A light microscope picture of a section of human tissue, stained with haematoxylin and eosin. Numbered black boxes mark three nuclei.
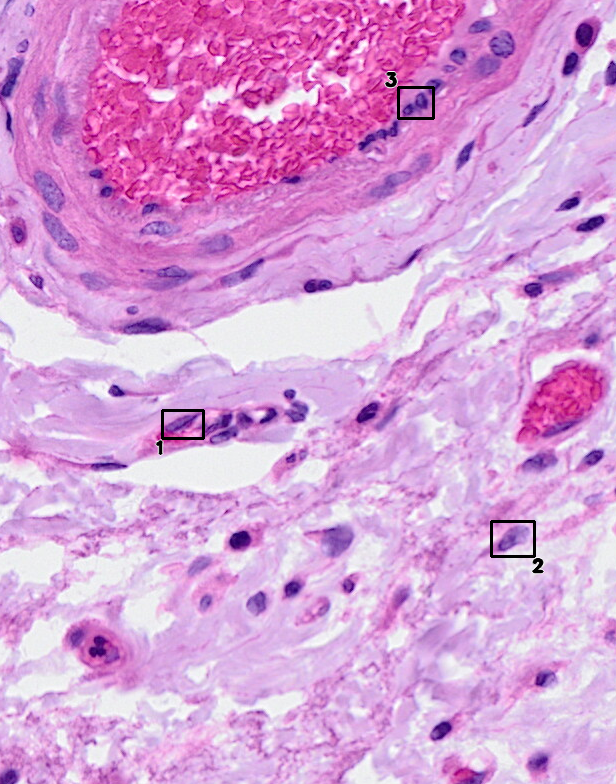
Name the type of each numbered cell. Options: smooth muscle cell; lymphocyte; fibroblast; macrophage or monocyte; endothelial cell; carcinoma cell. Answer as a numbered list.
1. endothelial cell
2. fibroblast
3. endothelial cell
